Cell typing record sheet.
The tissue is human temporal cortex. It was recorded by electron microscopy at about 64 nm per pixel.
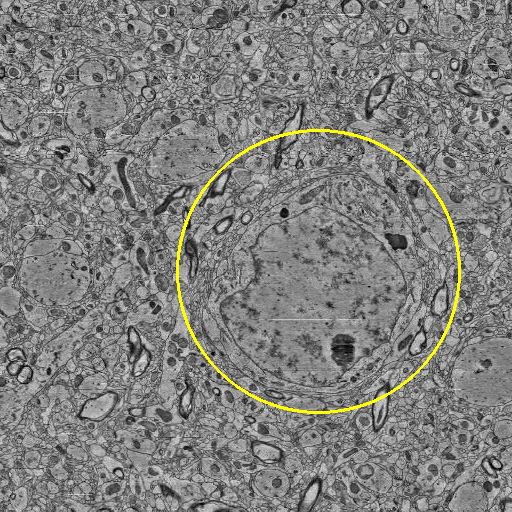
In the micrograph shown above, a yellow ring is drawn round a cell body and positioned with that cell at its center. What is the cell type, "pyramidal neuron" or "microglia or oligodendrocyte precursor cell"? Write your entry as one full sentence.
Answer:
The cell body at the center of the ring belongs to a pyramidal neuron.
